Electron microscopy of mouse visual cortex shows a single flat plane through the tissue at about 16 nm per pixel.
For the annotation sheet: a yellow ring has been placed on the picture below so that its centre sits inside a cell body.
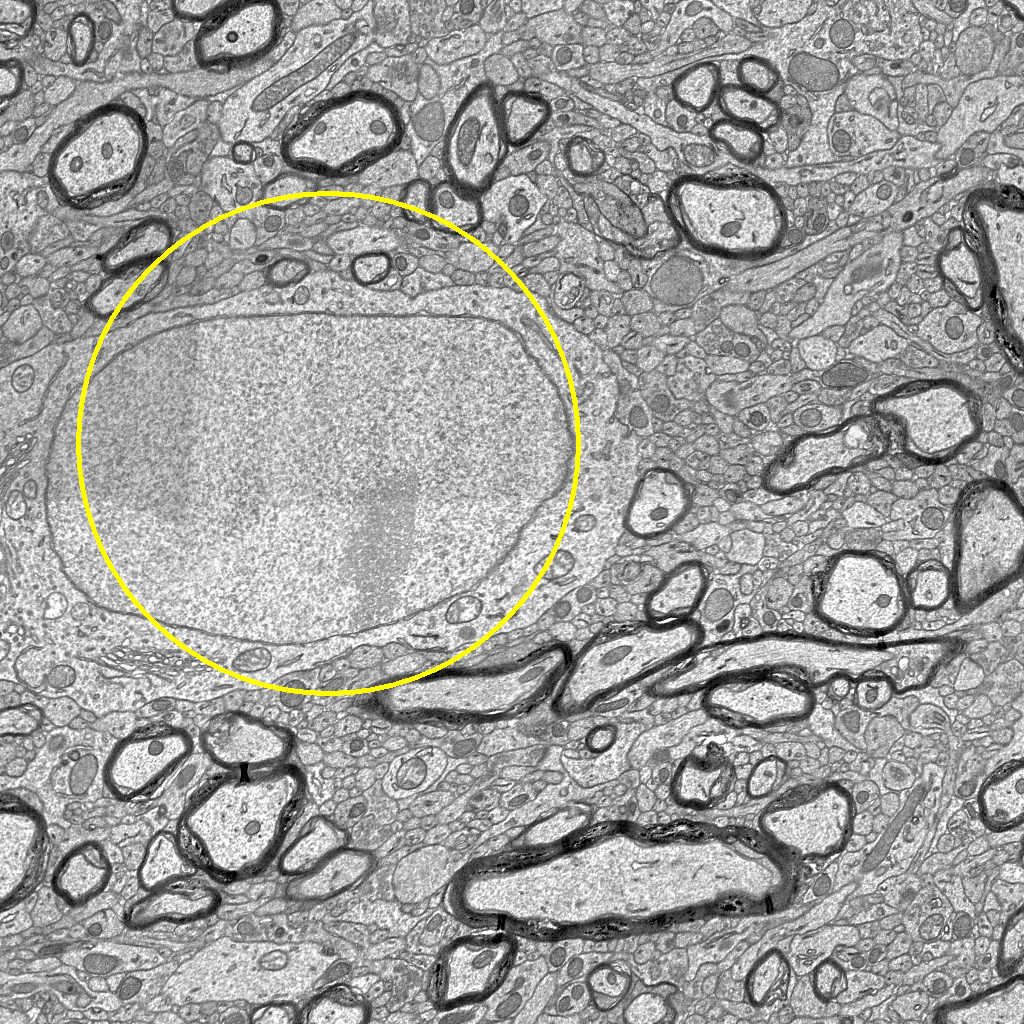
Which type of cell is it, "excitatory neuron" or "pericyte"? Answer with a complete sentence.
The cell at the ring's centre is an excitatory neuron.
